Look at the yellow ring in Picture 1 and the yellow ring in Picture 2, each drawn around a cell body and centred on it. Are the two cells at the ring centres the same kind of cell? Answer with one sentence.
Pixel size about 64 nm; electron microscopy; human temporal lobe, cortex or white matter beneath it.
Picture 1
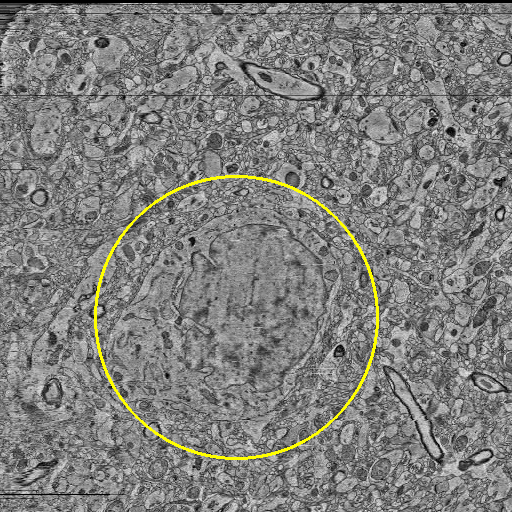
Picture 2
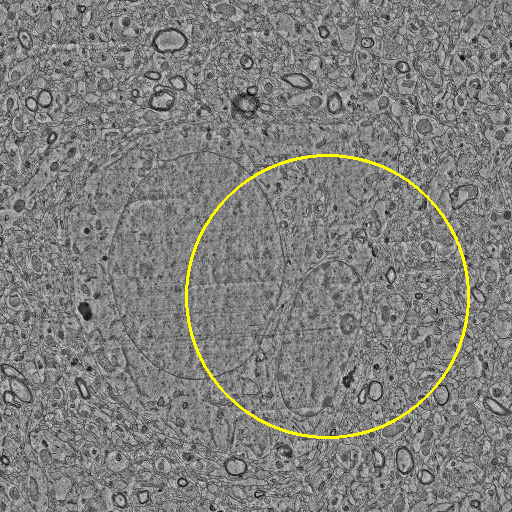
No, they are cells of two kinds.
